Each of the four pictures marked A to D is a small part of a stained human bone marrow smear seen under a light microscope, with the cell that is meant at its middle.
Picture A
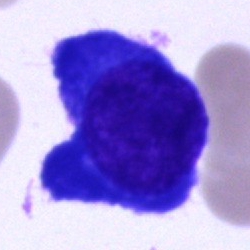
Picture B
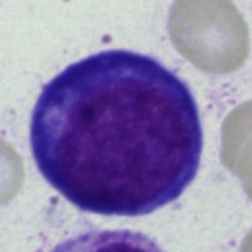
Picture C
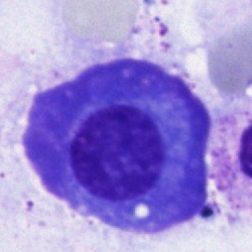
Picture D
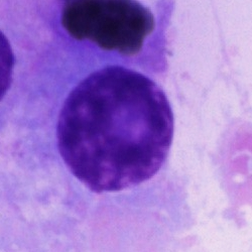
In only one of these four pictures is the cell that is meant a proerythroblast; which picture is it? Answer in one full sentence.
The picture with the proerythroblast is B.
